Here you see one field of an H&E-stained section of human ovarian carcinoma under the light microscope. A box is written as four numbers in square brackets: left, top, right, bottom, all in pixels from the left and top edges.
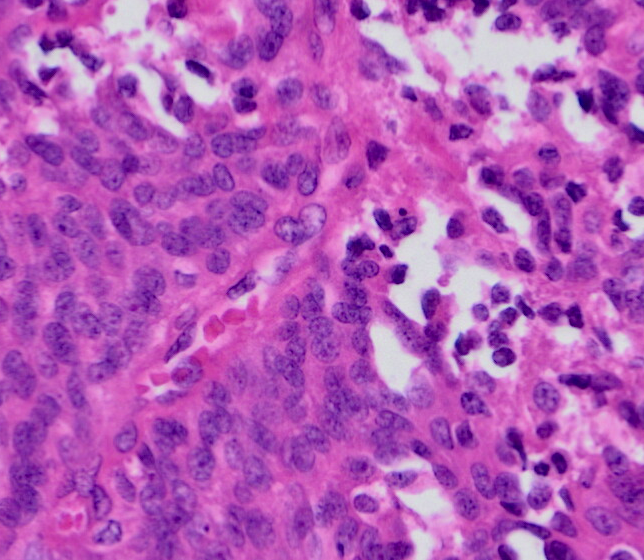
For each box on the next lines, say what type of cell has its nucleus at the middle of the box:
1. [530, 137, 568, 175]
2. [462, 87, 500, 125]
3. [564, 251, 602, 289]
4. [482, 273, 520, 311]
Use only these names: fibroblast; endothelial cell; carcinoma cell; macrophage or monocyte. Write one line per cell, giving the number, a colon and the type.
1: macrophage or monocyte
2: macrophage or monocyte
3: carcinoma cell
4: carcinoma cell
